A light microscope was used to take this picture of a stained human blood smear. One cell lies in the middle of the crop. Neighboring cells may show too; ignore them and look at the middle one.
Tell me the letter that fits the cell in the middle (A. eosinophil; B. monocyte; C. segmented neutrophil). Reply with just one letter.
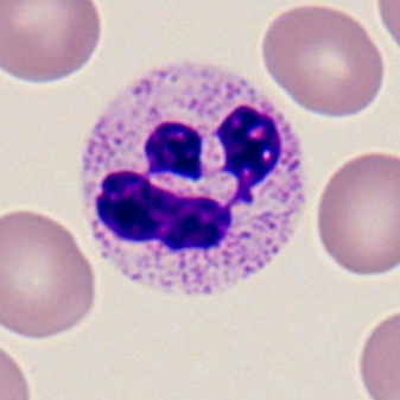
C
